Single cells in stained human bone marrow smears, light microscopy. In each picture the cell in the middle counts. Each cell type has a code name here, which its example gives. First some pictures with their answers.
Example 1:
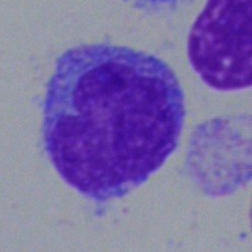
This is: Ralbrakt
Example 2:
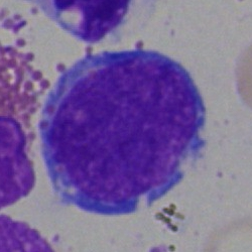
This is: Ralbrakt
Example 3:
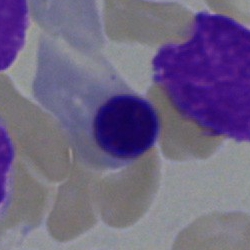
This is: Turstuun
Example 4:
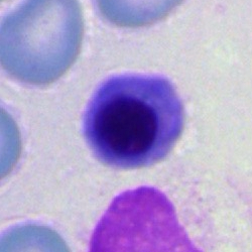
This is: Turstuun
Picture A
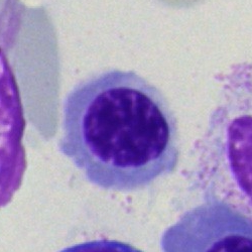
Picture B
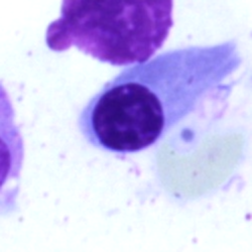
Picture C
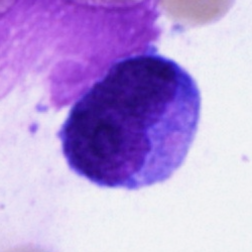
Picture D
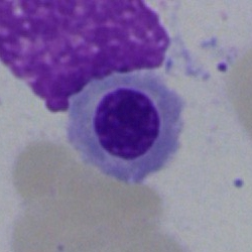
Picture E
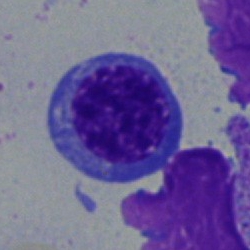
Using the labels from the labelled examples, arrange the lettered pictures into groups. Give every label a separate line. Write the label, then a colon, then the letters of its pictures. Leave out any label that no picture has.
Ralbrakt: C
Turstuun: A, B, D, E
